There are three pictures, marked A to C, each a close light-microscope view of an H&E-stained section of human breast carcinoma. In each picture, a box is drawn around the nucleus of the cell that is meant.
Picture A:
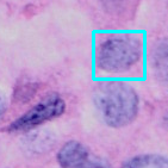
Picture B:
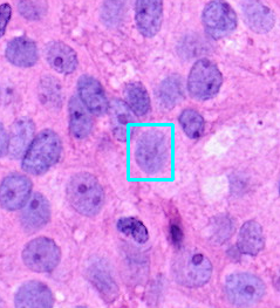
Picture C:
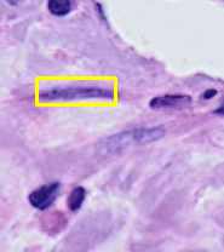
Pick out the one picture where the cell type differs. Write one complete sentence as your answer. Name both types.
Picture C differs, because its cell is a fibroblast and the rest are carcinoma cells.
